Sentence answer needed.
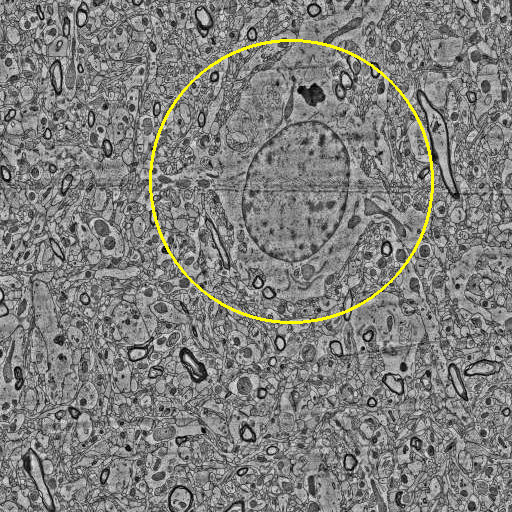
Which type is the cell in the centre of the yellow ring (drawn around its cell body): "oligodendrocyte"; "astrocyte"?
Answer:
In the centre of the yellow ring is an astrocyte.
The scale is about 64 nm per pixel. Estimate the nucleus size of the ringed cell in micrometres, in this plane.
Roughly 9 by 7 micrometres is the size of the nucleus in this plane.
